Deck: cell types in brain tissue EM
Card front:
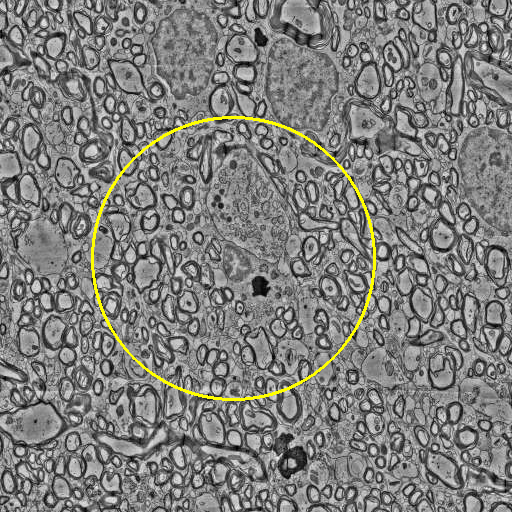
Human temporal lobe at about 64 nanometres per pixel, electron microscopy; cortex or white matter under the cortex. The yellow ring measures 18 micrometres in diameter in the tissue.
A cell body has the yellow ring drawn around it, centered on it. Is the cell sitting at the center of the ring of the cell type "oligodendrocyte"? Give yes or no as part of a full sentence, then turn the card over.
Yes, on this card the yellow ring is centered on a cell of that type.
